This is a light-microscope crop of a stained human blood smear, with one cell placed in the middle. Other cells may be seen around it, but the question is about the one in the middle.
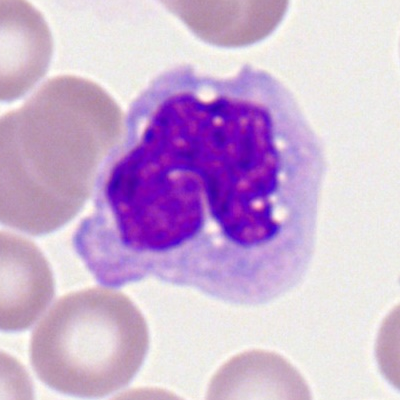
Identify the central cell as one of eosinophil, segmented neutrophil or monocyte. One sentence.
By type, the central cell of the crop is a monocyte.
